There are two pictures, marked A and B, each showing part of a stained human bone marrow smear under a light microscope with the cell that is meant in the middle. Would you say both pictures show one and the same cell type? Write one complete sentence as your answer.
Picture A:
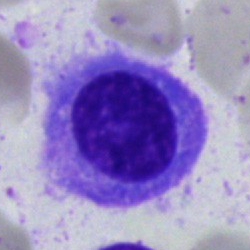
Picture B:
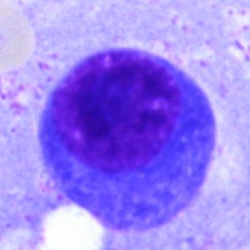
Yes, they are the same type: both are plasma cells.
